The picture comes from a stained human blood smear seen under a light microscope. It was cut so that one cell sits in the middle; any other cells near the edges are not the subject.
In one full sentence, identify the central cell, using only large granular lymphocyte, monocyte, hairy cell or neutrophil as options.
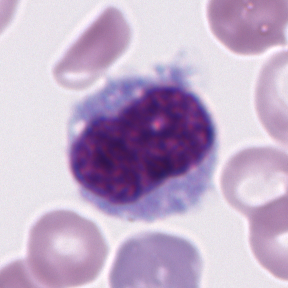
Looking at the middle of the crop, the cell there is a monocyte.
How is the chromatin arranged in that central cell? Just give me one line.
The nucleus shows chromatin that is coarsely clumped.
